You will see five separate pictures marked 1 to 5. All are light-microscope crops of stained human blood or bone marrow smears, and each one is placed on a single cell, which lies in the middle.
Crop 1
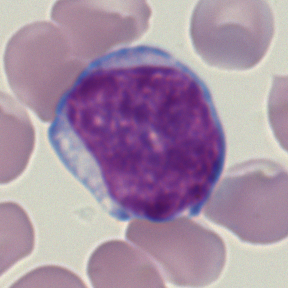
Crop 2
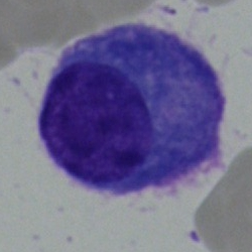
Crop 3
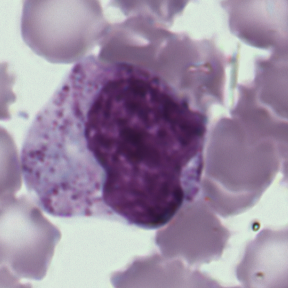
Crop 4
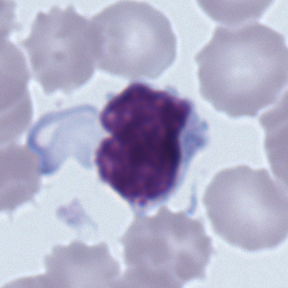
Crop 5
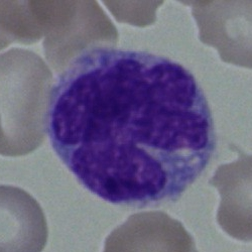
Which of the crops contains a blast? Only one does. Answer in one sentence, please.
Of the crops given, a blast is found in crop 1.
